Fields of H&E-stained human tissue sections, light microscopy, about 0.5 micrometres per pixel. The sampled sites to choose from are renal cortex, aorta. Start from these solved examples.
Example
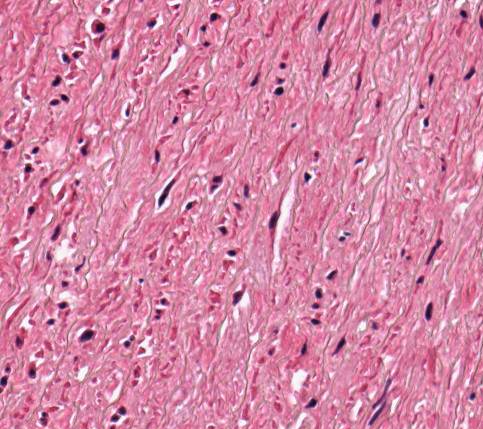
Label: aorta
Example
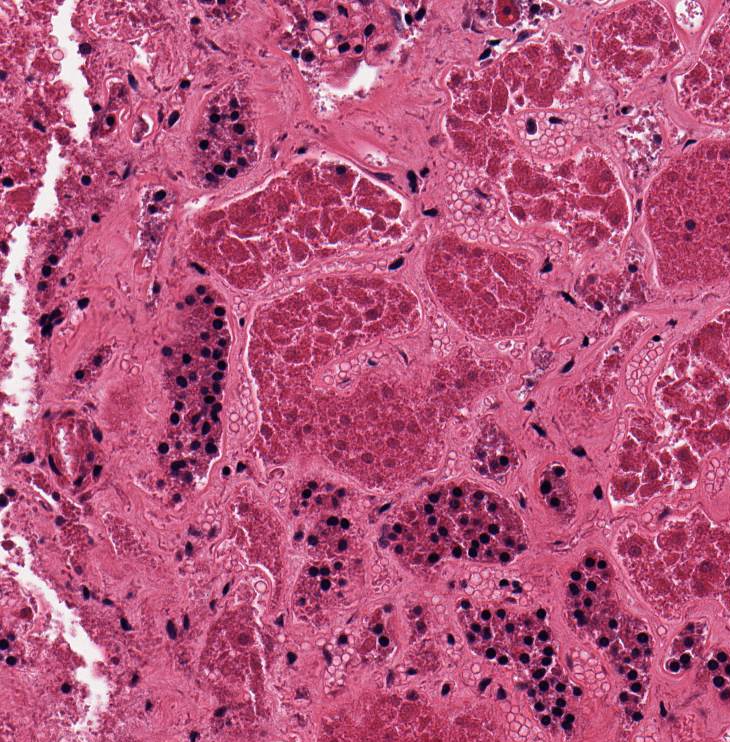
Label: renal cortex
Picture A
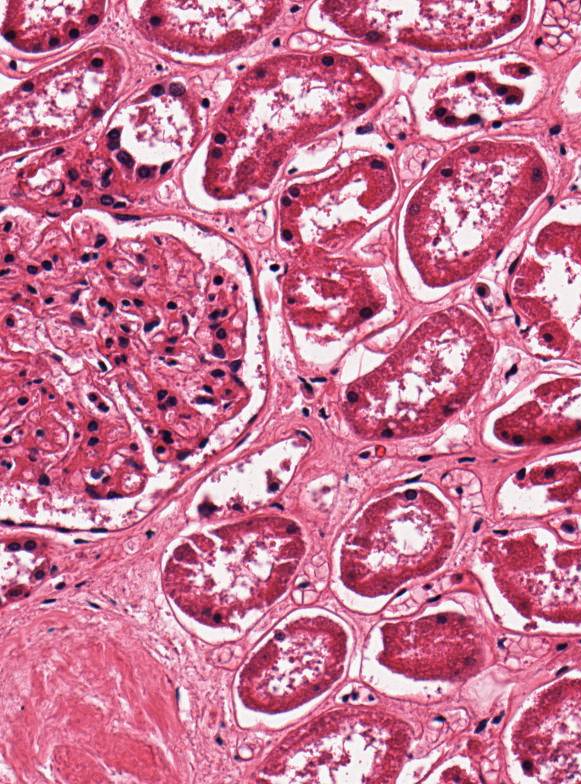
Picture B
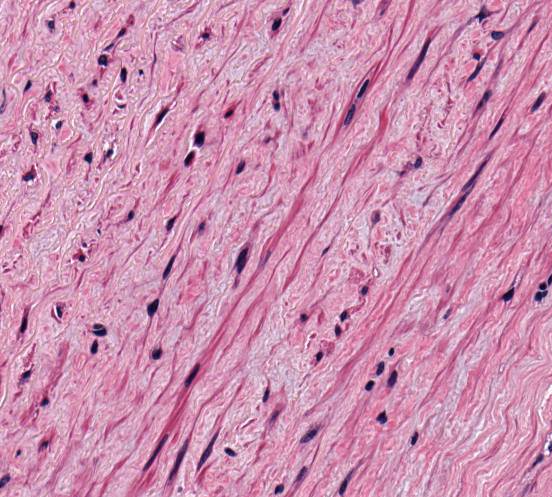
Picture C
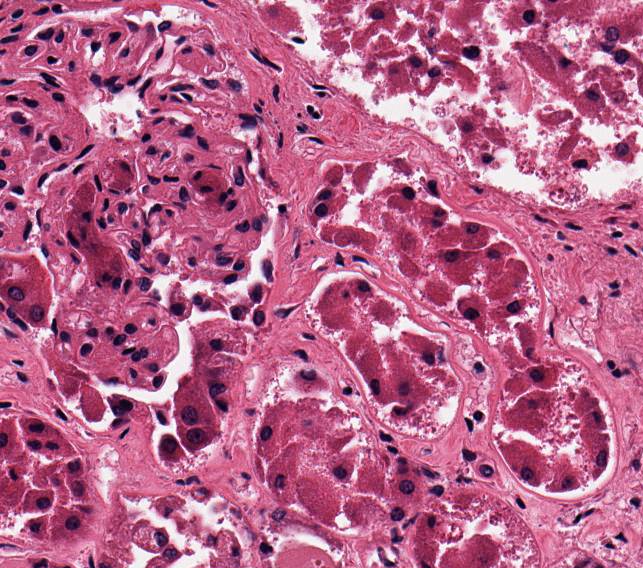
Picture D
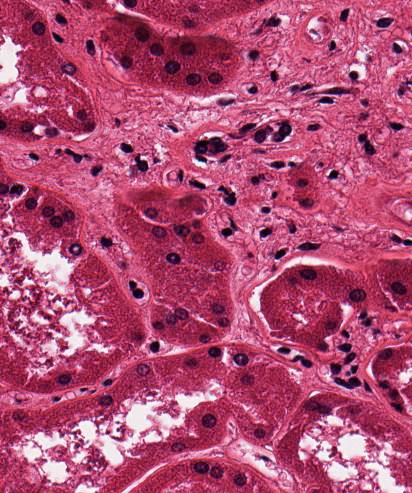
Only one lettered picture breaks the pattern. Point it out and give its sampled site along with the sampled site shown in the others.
B differs and shows aorta; the others show renal cortex.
